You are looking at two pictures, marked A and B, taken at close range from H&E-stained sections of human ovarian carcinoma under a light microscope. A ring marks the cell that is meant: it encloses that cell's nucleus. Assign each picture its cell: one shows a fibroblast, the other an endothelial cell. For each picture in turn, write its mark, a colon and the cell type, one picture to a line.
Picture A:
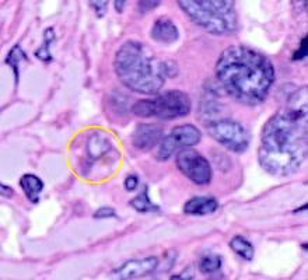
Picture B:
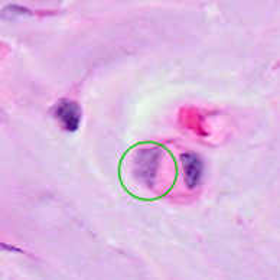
A: fibroblast
B: endothelial cell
